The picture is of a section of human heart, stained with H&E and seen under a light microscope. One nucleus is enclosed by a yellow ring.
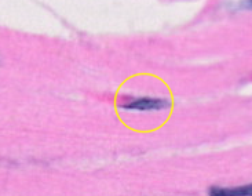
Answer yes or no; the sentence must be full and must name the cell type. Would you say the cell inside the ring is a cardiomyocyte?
No, the identity of the cell inside the ring is an endothelial cell, not a cardiomyocyte.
